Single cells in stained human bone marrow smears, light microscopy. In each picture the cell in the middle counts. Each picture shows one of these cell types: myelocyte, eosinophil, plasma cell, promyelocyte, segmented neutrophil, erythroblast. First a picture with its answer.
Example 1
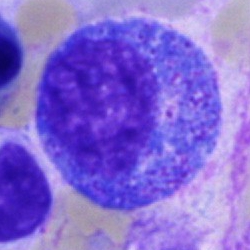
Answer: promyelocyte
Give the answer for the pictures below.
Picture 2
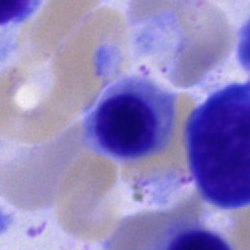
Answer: erythroblast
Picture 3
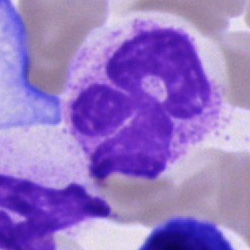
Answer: segmented neutrophil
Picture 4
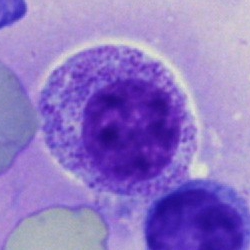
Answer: myelocyte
